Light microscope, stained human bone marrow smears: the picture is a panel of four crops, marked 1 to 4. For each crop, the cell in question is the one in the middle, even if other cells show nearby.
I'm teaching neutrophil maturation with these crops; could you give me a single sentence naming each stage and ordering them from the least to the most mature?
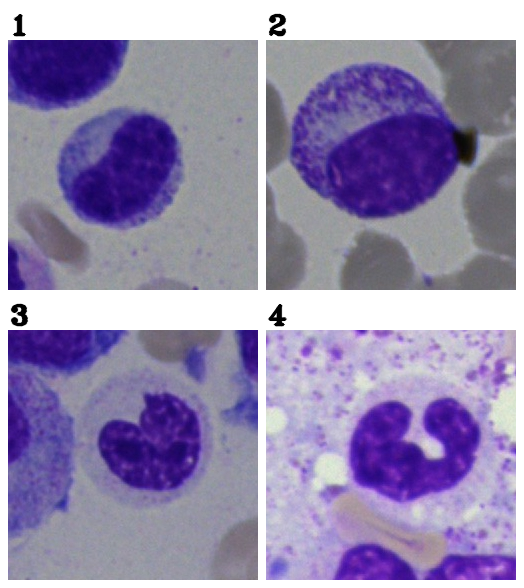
The sequence of maturity, beginning with the least mature, runs crop 2 (a myelocyte), crop 1 (a metamyelocyte), crop 3 (a band neutrophil) and crop 4 (a segmented neutrophil).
